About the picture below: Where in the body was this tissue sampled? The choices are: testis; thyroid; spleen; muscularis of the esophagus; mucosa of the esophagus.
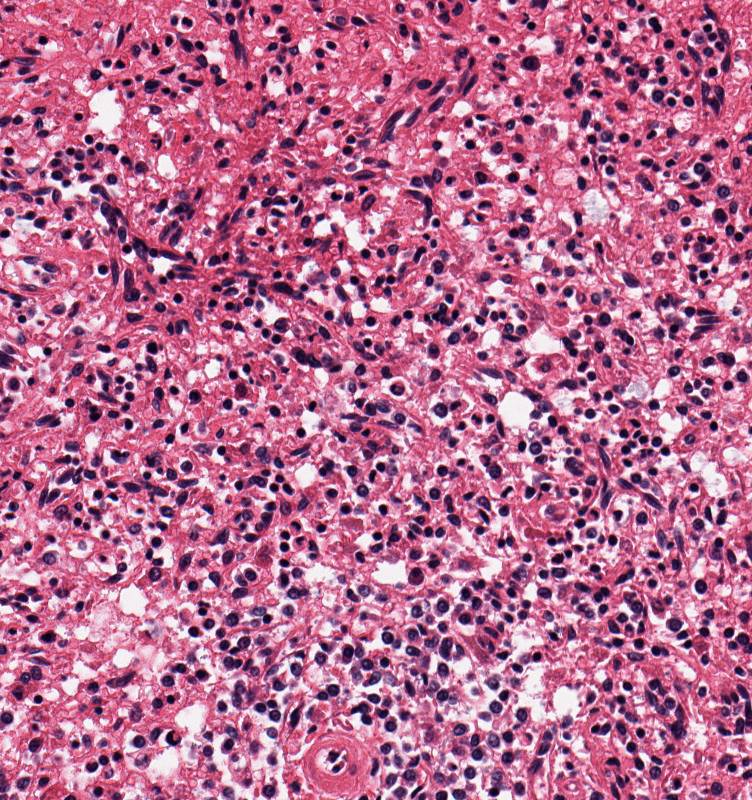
spleen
